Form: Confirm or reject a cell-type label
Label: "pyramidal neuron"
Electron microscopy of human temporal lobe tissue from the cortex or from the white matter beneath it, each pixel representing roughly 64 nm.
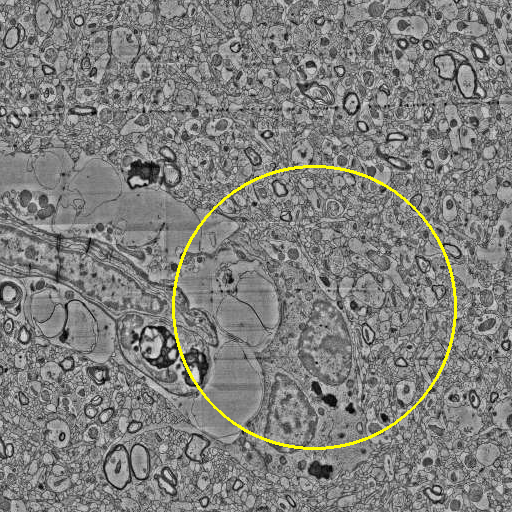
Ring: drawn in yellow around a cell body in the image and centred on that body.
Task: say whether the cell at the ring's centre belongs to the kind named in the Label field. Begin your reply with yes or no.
No, it belongs to another kind.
